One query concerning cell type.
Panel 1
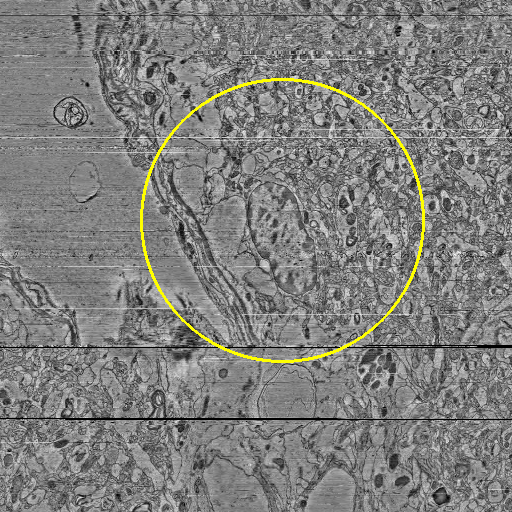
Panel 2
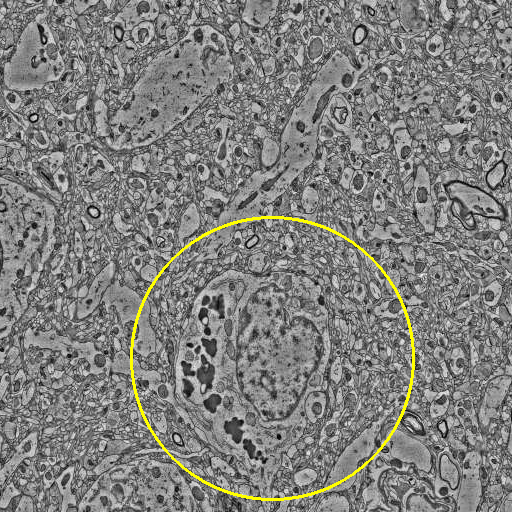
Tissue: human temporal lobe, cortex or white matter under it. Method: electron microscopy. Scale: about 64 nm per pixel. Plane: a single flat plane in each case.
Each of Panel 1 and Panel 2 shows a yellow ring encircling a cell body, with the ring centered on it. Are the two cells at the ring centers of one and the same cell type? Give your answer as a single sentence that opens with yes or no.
No, the cell centered in Panel 1 and the one in Panel 2 are of two types.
